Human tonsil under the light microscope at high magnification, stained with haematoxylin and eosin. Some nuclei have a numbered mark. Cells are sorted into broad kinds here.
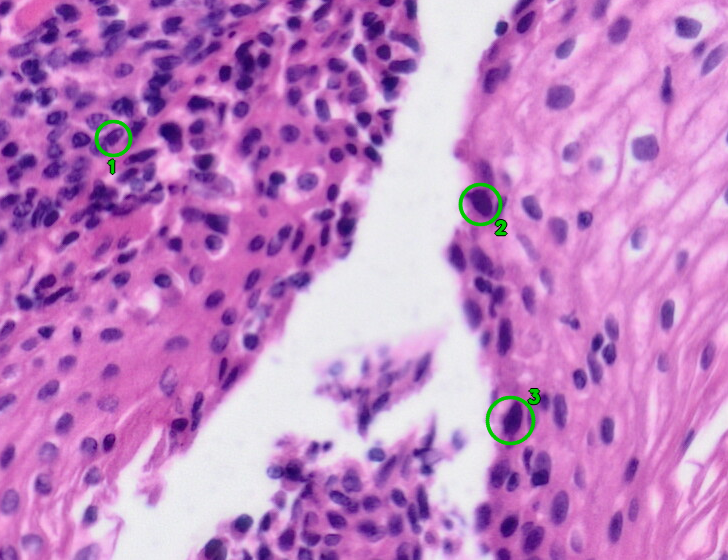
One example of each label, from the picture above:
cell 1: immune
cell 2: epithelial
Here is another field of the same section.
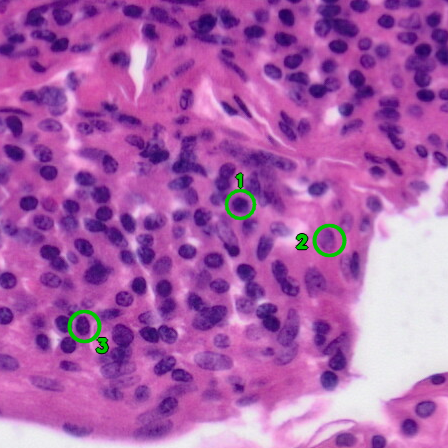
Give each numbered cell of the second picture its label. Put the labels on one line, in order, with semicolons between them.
immune; epithelial; immune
